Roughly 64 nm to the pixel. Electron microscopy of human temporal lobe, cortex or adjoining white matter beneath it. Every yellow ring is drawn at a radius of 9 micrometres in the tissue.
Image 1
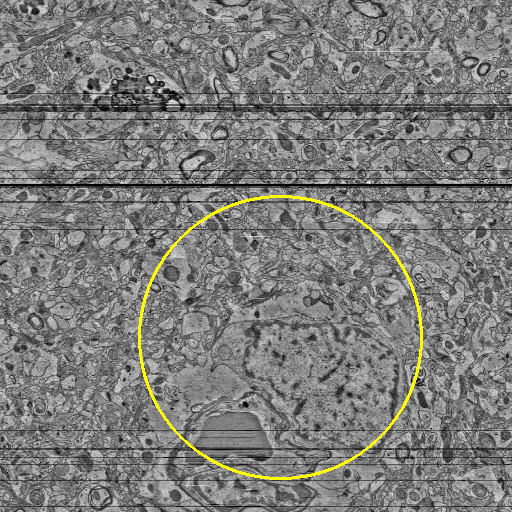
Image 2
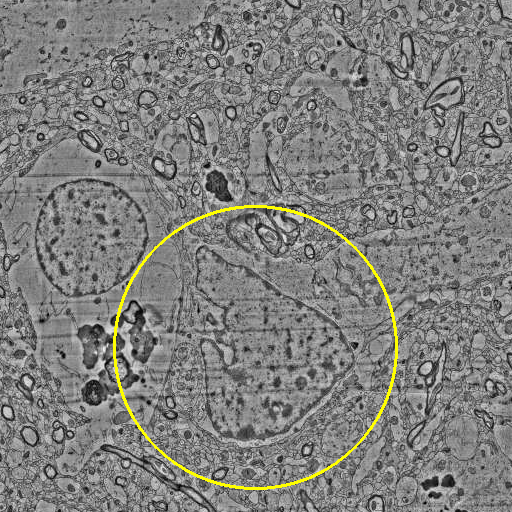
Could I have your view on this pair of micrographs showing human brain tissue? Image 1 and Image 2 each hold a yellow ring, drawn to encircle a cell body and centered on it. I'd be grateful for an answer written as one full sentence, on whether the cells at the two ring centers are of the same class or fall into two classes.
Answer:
The cells at the centers of the two rings are of the same class.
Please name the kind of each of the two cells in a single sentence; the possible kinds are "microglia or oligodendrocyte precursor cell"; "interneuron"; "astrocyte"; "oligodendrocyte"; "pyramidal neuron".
In the first picture and in the second, the ring is centred on a microglial cell or oligodendrocyte precursor cell.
